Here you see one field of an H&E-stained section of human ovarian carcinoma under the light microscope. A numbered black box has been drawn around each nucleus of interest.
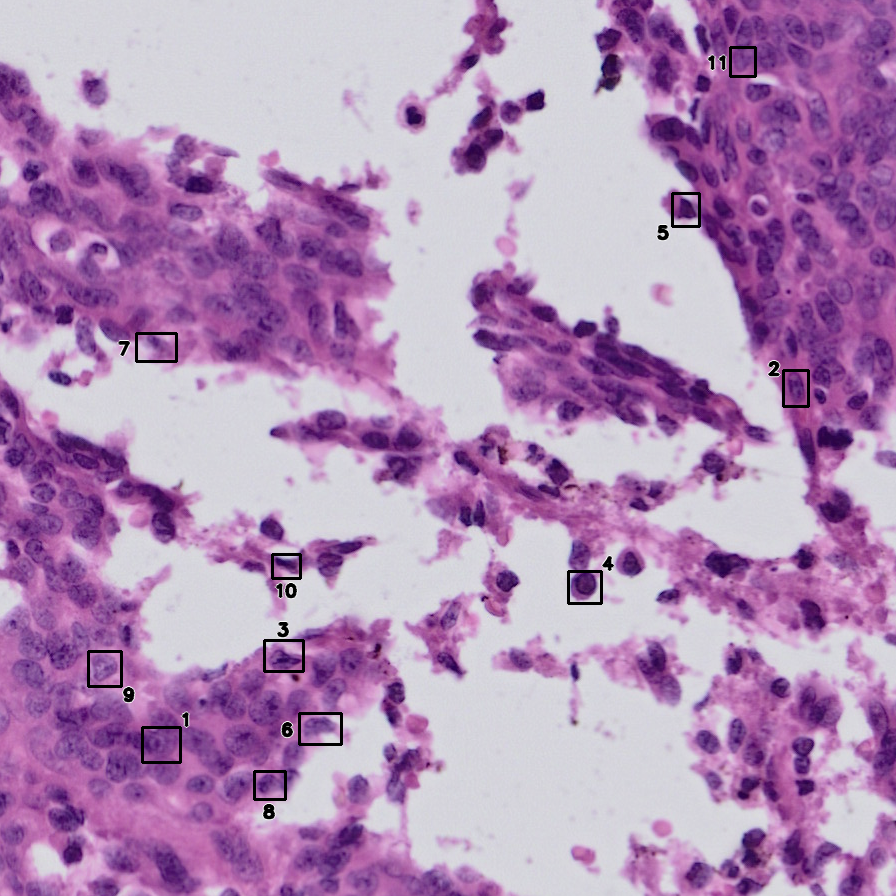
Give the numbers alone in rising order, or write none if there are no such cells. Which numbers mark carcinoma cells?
1, 4, 5, 11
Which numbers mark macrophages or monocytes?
3, 6, 7, 8, 9, 10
